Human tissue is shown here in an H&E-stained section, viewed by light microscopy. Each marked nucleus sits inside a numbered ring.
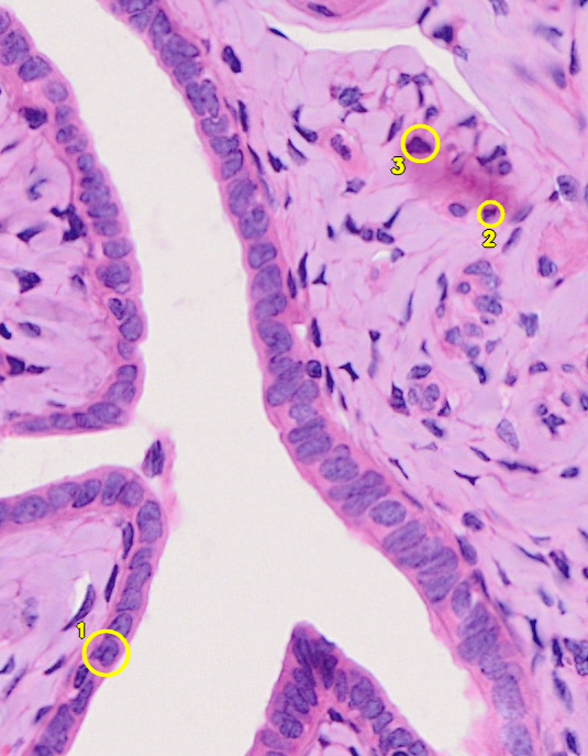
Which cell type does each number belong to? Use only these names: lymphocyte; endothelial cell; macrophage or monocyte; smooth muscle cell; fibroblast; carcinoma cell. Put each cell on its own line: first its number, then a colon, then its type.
1: carcinoma cell
2: smooth muscle cell
3: smooth muscle cell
